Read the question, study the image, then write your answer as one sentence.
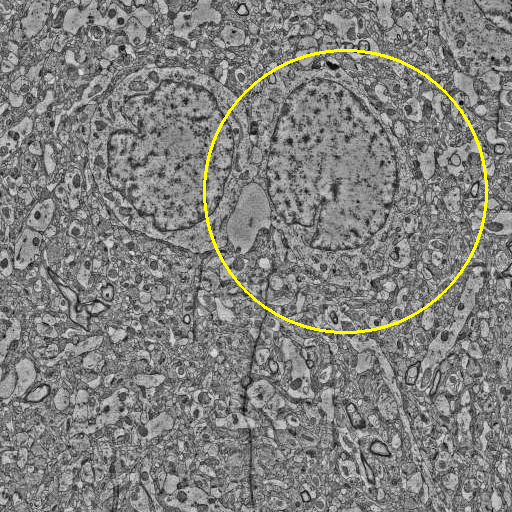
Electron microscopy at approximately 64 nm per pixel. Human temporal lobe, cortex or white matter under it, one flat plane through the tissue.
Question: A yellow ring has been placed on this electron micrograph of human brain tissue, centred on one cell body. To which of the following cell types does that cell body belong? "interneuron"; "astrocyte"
That cell body belongs to an interneuron.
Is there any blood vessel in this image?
No, none appears.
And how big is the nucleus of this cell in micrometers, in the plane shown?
In this plane, approximately 11 by 9 micrometers.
